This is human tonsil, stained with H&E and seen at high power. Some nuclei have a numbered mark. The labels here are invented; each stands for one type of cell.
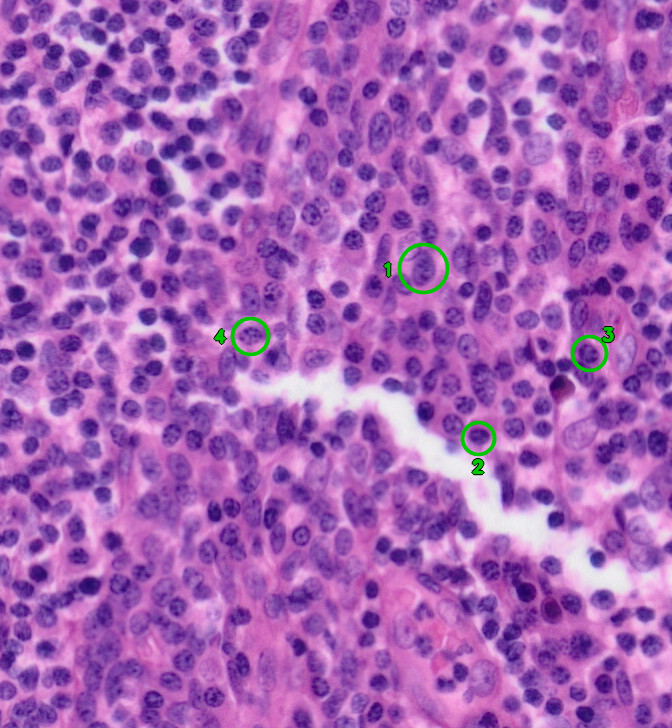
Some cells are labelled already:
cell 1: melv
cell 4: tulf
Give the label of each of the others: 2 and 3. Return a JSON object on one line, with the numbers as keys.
{"2": "tulf", "3": "tulf"}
